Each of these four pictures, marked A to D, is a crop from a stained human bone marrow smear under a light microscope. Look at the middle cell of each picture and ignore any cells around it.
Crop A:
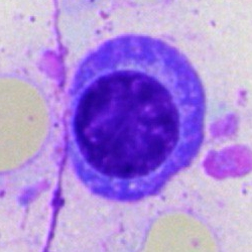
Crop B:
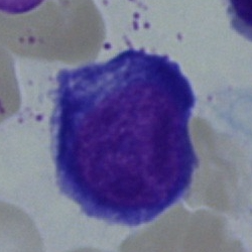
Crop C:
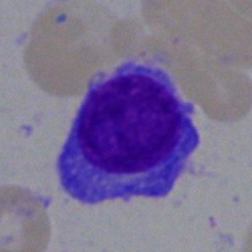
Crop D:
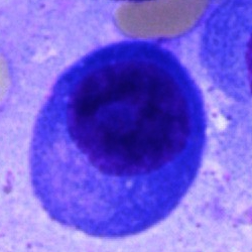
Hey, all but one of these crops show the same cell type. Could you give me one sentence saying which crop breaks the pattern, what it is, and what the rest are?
Crop B is the exception here: it is a proerythroblast, and the others are plasma cells.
